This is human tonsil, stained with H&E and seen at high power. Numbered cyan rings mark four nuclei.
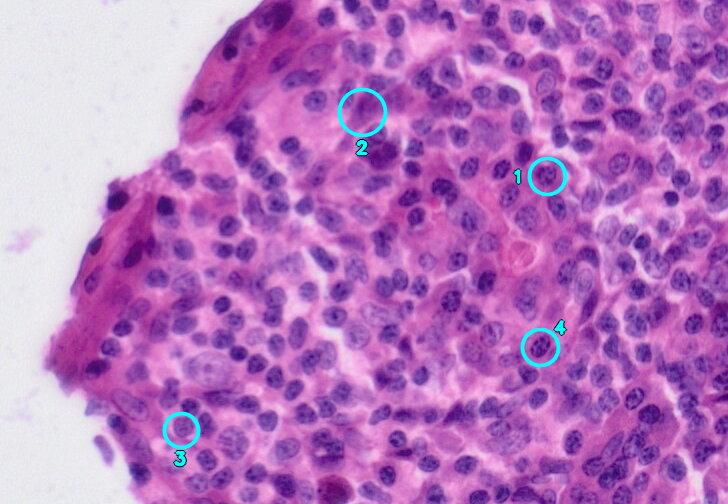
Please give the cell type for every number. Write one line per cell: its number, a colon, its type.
1: plasma cell
2: squamous epithelial cell
3: squamous epithelial cell
4: plasma cell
